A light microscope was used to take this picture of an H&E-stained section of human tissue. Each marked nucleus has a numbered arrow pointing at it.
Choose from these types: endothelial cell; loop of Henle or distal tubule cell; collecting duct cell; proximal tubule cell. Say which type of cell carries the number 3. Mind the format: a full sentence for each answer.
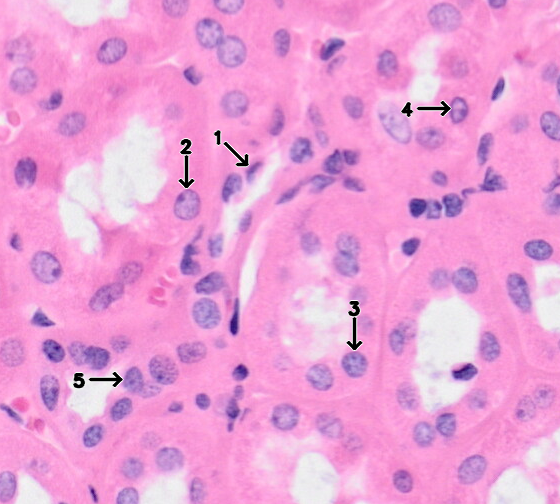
At number 3, the marked cell is a loop of Henle or distal tubule cell.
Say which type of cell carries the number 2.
Number 2 is placed on a proximal tubule cell here.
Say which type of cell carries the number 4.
It is as a proximal tubule cell that the cell numbered 4 is identified.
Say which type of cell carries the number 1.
The cell carrying label 1 is identified as a collecting duct cell.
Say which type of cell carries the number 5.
Within this field of view, the cell labelled 5 is a collecting duct cell.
